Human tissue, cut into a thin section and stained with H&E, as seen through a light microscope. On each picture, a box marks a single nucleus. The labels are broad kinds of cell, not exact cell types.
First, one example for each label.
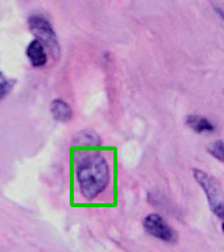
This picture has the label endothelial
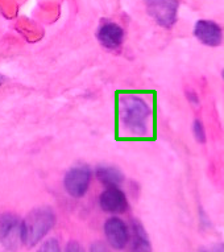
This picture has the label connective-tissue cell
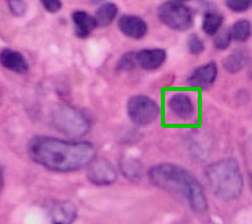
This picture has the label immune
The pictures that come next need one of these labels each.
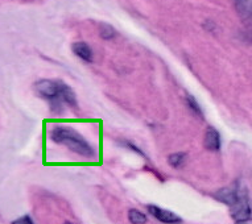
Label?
endothelial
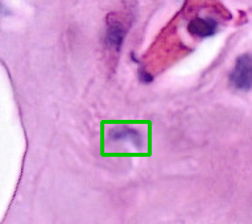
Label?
connective-tissue cell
